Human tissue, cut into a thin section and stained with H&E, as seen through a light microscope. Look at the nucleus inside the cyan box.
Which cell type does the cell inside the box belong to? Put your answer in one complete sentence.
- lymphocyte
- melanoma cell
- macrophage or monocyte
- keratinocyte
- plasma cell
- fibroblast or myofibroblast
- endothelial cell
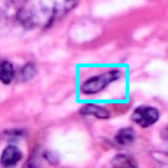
The expected answer is simply that the cell inside the box is a lymphocyte.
